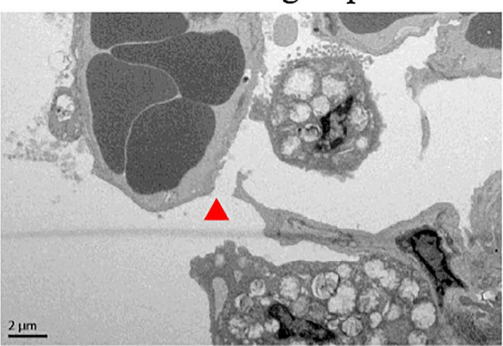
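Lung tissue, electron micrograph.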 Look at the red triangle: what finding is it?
Basement membrane cracked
